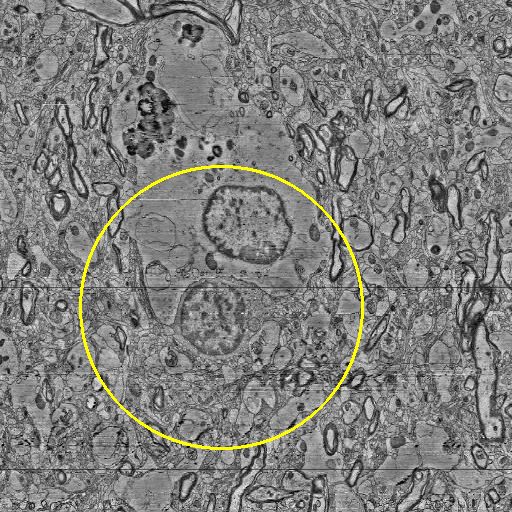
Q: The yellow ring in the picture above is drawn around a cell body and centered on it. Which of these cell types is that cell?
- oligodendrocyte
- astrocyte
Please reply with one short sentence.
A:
The cell body at the ring's center belongs to an oligodendrocyte.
